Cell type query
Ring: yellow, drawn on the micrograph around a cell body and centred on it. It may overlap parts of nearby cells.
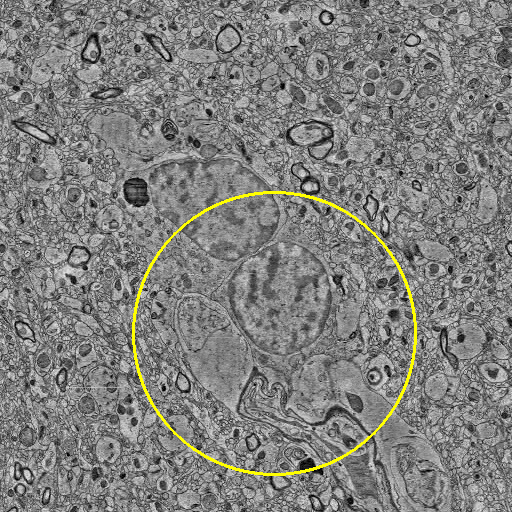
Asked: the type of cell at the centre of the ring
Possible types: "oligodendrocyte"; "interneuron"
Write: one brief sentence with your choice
The ring marks an oligodendrocyte.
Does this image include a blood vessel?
Yes, there is one.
